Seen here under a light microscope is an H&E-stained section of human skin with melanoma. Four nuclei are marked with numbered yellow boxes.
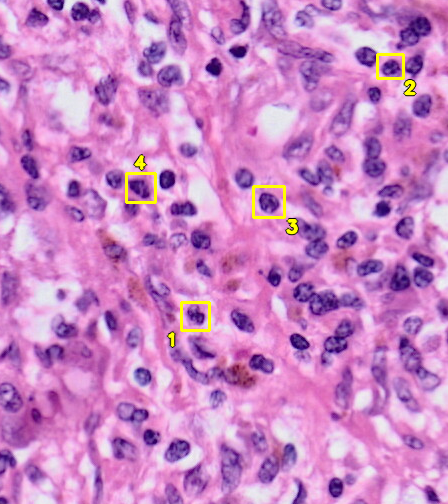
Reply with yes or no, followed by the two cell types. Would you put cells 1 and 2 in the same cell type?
Yes, both are lymphocytes.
